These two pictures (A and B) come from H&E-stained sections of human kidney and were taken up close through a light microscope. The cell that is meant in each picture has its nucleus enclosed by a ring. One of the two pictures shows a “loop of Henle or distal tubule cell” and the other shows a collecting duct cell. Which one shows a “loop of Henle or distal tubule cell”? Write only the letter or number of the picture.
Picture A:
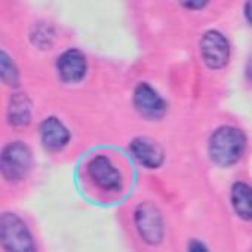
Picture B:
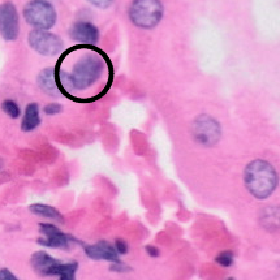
A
